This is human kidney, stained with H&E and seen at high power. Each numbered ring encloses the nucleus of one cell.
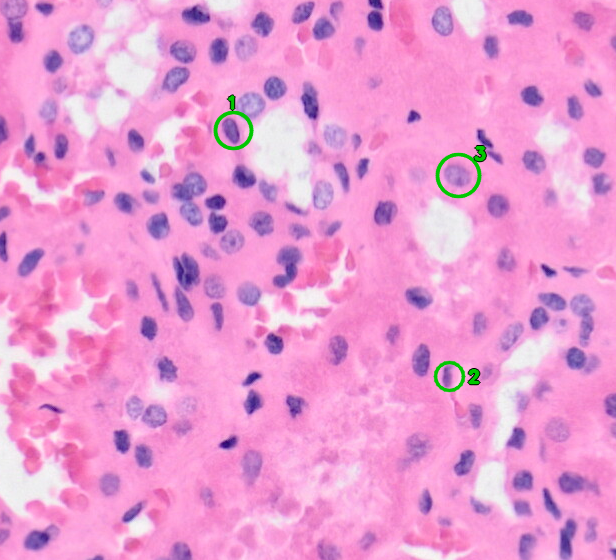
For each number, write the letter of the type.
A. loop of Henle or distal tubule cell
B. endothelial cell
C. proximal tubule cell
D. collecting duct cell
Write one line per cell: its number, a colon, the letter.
1: D
2: B
3: C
